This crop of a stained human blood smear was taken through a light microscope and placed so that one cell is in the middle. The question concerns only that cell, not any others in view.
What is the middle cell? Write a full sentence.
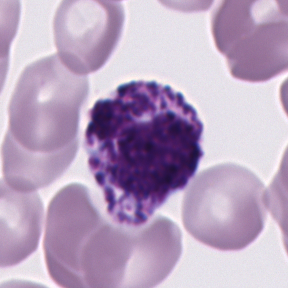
Here the centrally located cell is a basophil.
